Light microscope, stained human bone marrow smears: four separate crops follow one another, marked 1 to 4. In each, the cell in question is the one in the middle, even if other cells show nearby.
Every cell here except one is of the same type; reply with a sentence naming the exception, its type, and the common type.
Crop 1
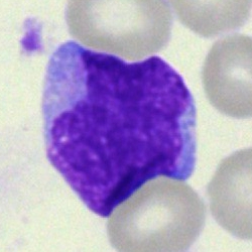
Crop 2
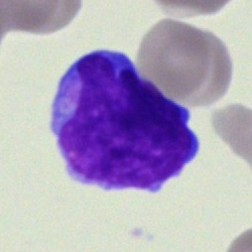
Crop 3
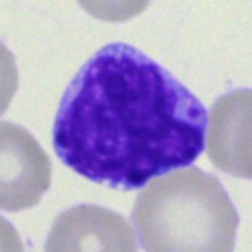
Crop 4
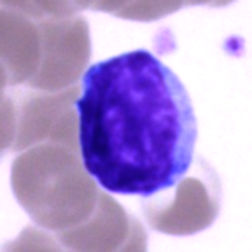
A different cell type, a lymphocyte, occupies crop 4; the other crops show blasts.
